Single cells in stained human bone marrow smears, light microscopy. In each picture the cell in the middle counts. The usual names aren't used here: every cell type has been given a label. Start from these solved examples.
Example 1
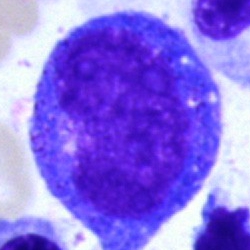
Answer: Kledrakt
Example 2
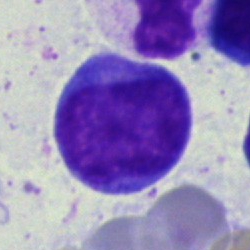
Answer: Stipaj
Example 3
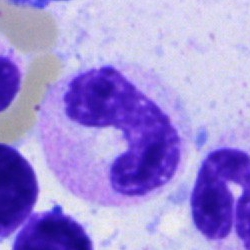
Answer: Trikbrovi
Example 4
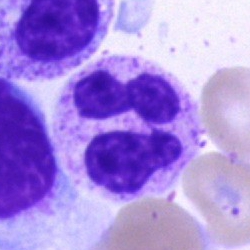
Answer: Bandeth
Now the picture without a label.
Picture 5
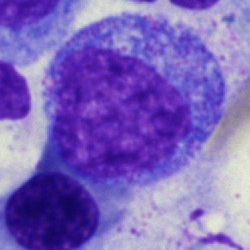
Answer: Kledrakt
